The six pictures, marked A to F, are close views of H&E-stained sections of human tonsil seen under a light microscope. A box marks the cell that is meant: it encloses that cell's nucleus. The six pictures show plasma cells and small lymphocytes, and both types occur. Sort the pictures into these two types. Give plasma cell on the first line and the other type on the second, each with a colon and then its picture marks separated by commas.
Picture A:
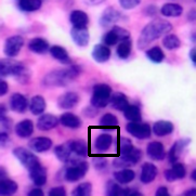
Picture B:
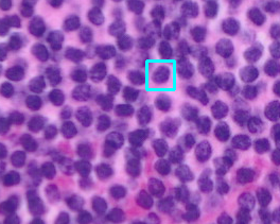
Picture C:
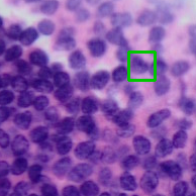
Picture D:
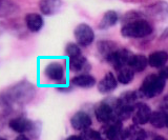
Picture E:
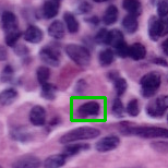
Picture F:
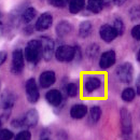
plasma cell: E, F
small lymphocyte: A, B, C, D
